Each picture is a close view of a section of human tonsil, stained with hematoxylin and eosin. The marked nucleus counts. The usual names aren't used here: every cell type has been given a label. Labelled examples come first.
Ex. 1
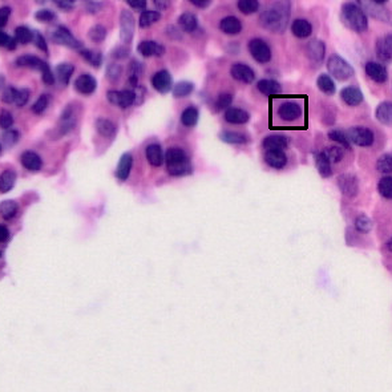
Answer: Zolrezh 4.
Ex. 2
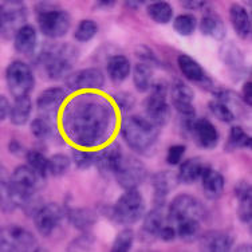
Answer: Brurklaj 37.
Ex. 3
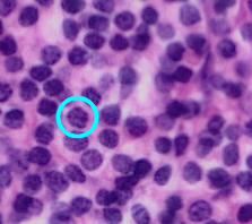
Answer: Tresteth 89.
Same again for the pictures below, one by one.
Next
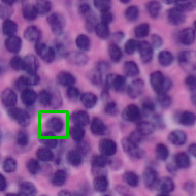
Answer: Tresteth 89.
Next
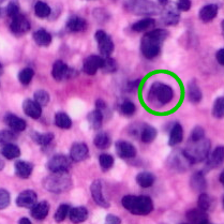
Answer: Brurklaj 37.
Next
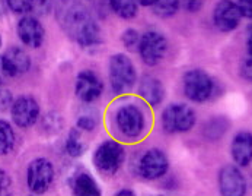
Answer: Zolrezh 4.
